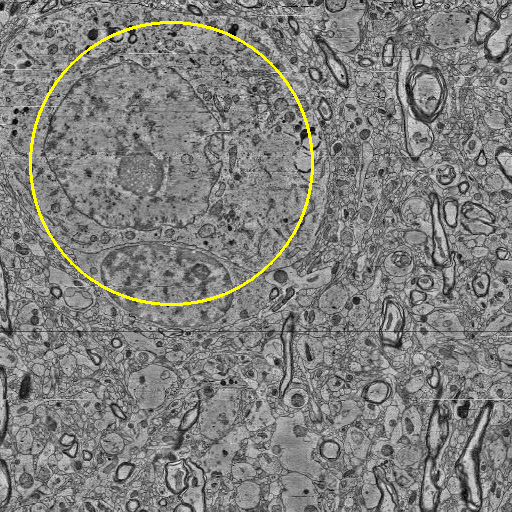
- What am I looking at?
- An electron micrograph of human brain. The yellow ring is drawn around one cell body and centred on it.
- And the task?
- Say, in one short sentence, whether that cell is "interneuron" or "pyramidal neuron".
The cell in the middle of the ring is a pyramidal neuron.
